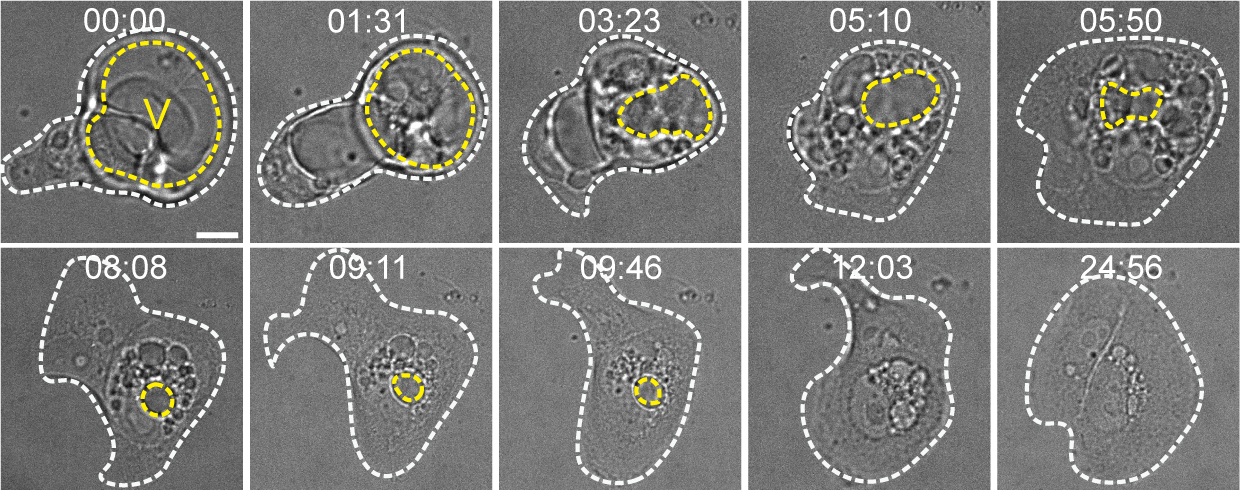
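A single cell is followed over time in bright-field: at first it is rounded and almost filled by one huge clear vacuole, outlined in yellow. In later frames the cell flattens and spreads on the dish, its outline in white growing larger, while the big vacuole shrinks into a small ring surrounded by many smaller vesicles, and in the last frame only a flat spread cell remains.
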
